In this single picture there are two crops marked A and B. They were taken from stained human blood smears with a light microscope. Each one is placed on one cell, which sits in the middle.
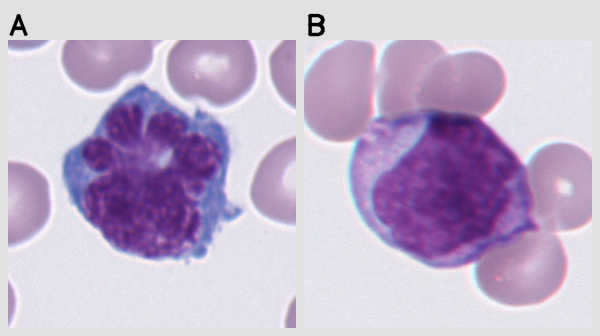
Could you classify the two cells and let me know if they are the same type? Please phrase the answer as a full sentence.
No, crop A shows a myeloblast, whereas an atypical promyelocyte is what crop B shows.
